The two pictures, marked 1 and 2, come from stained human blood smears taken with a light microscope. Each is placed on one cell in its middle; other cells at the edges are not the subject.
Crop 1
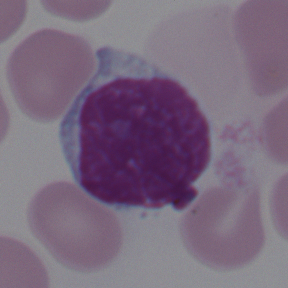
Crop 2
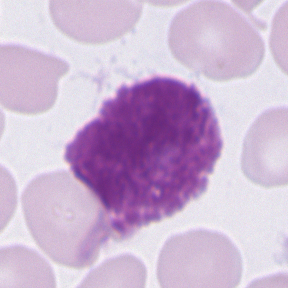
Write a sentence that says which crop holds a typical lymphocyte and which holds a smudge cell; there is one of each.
Identification: crop 1 is a typical lymphocyte; crop 2 is a smudge cell.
